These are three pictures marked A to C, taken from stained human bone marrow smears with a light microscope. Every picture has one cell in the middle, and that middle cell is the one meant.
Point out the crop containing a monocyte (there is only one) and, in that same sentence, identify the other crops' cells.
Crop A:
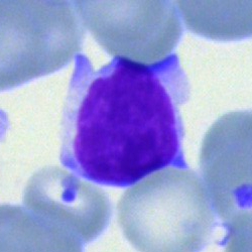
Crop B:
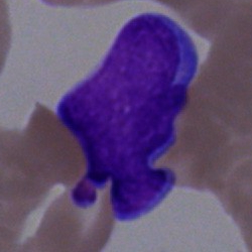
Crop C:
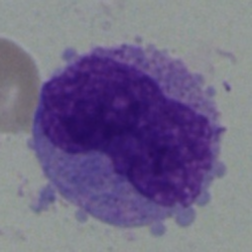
To sum up, crop C shows a monocyte, while crop A is a lymphocyte and crop B is a blast.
